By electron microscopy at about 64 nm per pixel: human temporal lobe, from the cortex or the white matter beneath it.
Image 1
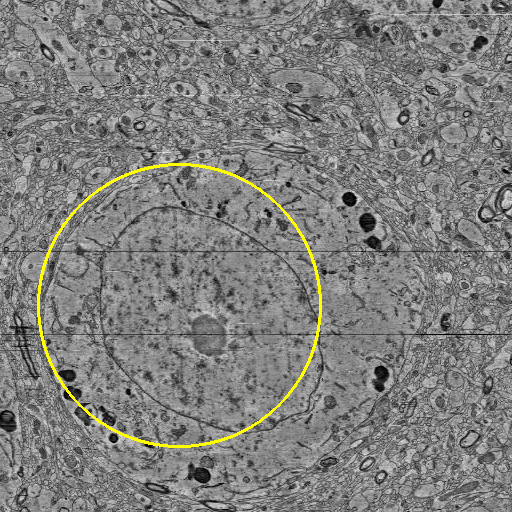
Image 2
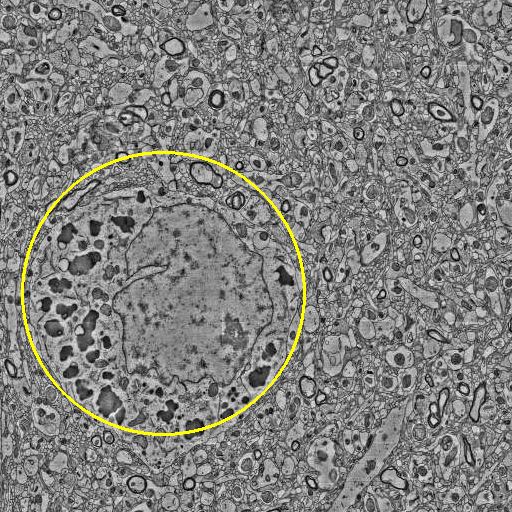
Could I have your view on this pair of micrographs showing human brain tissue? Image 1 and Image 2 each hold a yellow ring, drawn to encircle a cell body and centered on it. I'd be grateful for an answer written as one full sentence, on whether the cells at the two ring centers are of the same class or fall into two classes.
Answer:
The cells at the centers of the two rings fall into two classes.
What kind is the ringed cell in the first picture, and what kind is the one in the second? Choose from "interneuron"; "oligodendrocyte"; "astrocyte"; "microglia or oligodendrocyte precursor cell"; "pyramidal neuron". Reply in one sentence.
The first cell is a pyramidal neuron; the second is an interneuron.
